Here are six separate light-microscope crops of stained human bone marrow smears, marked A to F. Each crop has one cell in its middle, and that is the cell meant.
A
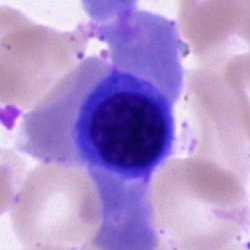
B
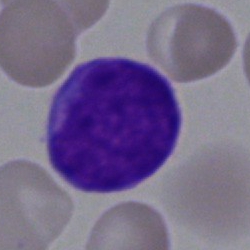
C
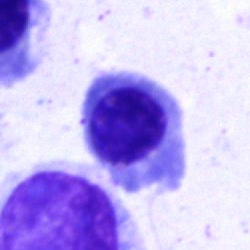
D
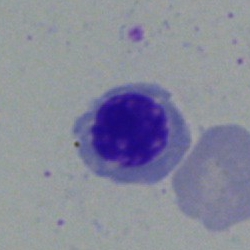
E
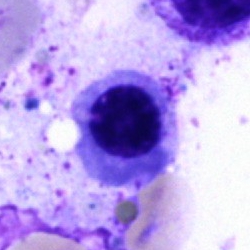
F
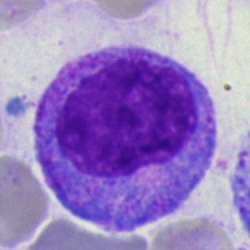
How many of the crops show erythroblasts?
4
